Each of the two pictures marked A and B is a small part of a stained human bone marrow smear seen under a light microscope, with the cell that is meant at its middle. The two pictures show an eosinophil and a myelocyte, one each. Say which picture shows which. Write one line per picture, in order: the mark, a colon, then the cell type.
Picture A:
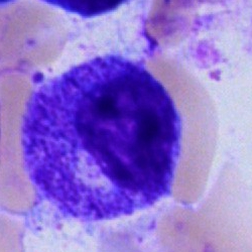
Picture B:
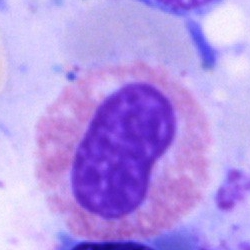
A: myelocyte
B: eosinophil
